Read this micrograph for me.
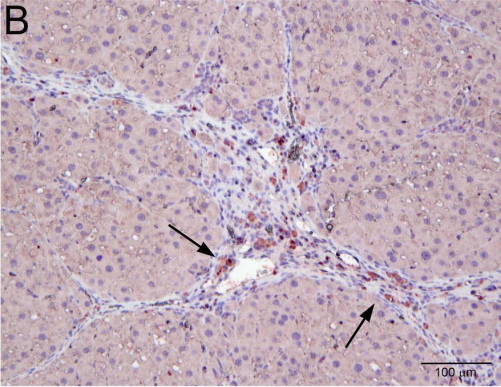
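Hepatocytes are polygonal with round blue nuclei and lightly pink-tinged cytoplasm, arranged in plates. The bands are packed with elongated spindle cells and small dark nuclei, and contain scattered rounded cells with reddish-brown stained cytoplasm, most densely near a small vessel where the bands meet. A few deposits of dark brown-black pigment lie within the fibrous tissue.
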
